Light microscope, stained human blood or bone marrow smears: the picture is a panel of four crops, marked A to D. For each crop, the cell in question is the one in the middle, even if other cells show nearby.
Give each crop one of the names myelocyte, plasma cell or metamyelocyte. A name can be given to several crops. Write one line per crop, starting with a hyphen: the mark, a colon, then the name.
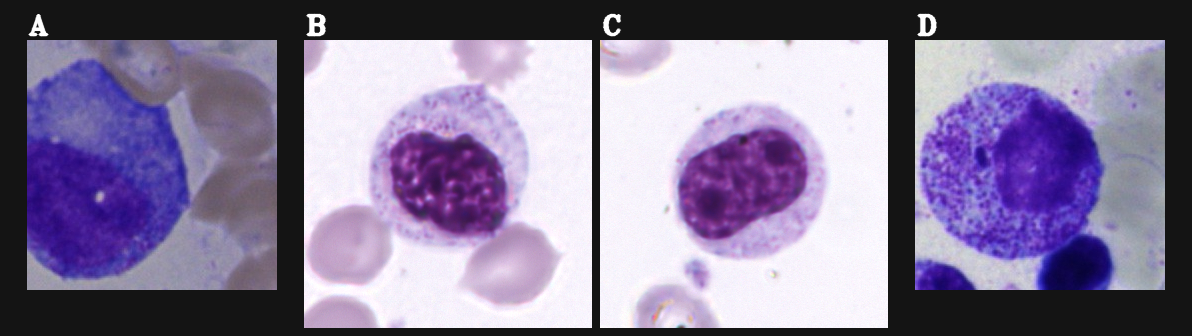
- A: plasma cell
- B: metamyelocyte
- C: metamyelocyte
- D: myelocyte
